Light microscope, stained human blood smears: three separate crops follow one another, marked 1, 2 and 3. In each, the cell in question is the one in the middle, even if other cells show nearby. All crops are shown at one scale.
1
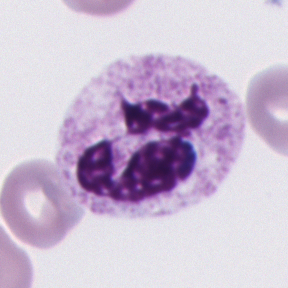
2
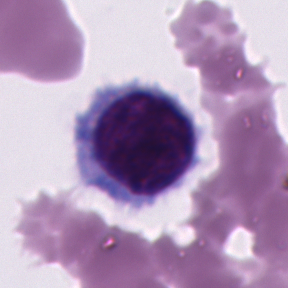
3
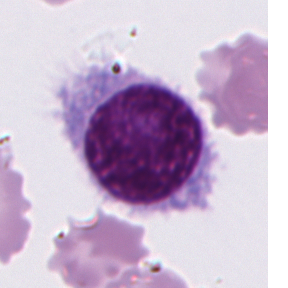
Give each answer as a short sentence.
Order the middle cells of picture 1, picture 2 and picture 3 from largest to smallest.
The order is 1, 3, 2, beginning with the largest.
